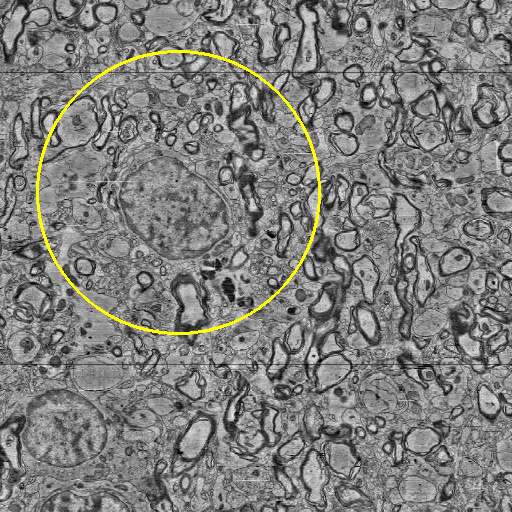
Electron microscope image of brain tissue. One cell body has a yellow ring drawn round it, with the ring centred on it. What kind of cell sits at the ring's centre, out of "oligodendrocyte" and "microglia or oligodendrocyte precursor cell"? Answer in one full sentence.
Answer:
It is an oligodendrocyte whose cell body sits at the centre of the yellow ring.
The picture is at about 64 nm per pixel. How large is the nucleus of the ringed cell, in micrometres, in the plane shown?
The nucleus comes to roughly 7 by 6 micrometres in this plane.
